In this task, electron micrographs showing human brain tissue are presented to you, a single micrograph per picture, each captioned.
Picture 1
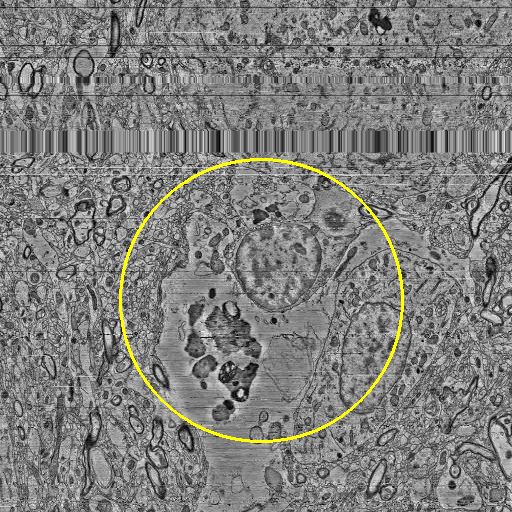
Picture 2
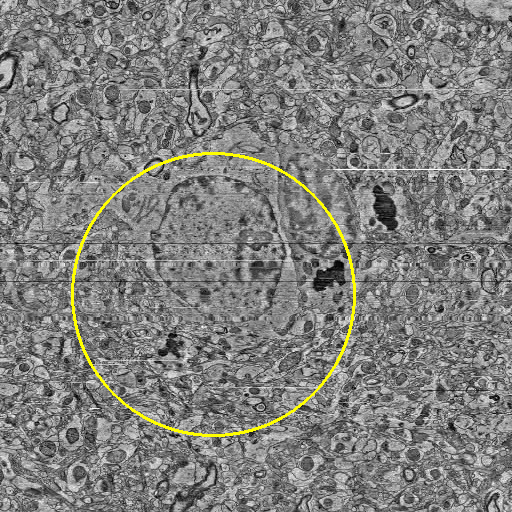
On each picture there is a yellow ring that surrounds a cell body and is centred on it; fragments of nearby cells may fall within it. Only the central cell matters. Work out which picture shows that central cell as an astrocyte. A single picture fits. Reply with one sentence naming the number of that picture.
Of all the pictures, number 2 has the right cell in the centre of its ring.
